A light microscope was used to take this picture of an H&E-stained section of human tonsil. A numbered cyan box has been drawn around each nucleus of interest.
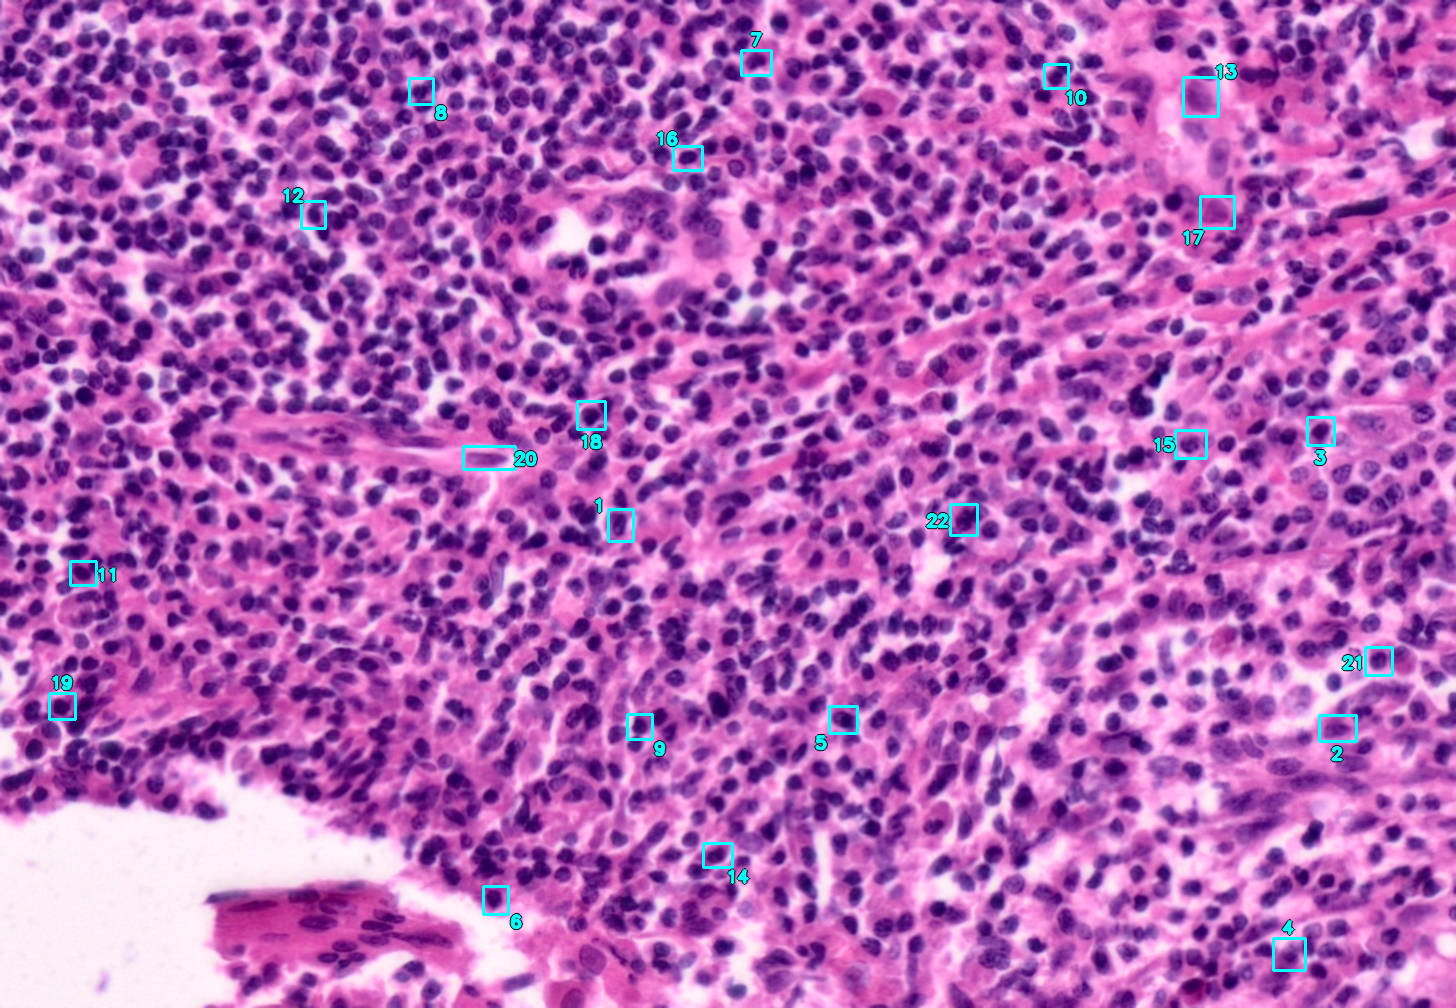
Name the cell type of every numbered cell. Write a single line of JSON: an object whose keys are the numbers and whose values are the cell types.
{"1": "plasma cell", "2": "squamous epithelial cell", "3": "plasma cell", "4": "squamous epithelial cell", "5": "plasma cell", "6": "plasma cell", "7": "plasma cell", "8": "small lymphocyte", "9": "plasma cell", "10": "small lymphocyte", "11": "plasma cell", "12": "small lymphocyte", "13": "endothelial cell", "14": "plasma cell", "15": "plasma cell", "16": "small lymphocyte", "17": "endothelial cell", "18": "small lymphocyte", "19": "plasma cell", "20": "endothelial cell", "21": "plasma cell", "22": "plasma cell"}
